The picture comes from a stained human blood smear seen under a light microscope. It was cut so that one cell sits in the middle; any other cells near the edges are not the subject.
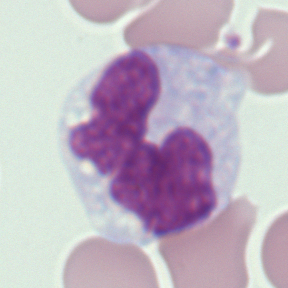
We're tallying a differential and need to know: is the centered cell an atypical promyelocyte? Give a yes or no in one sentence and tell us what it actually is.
No, the centrally located cell is a monocyte rather than an atypical promyelocyte.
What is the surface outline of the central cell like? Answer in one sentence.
The membrane contour is even and smooth, with nothing projecting from it.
